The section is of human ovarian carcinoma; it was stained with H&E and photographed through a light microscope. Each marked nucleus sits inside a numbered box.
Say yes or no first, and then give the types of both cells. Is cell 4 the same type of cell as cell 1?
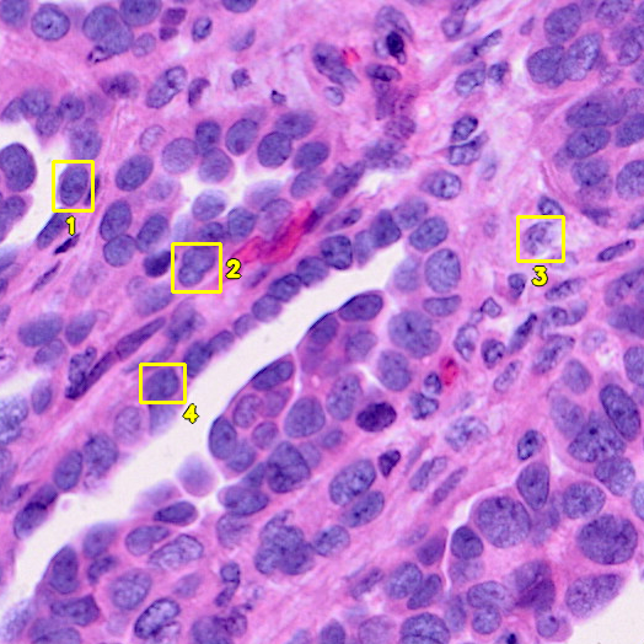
Yes, for cells 4 and 1 alike, the identity is that of carcinoma cells.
